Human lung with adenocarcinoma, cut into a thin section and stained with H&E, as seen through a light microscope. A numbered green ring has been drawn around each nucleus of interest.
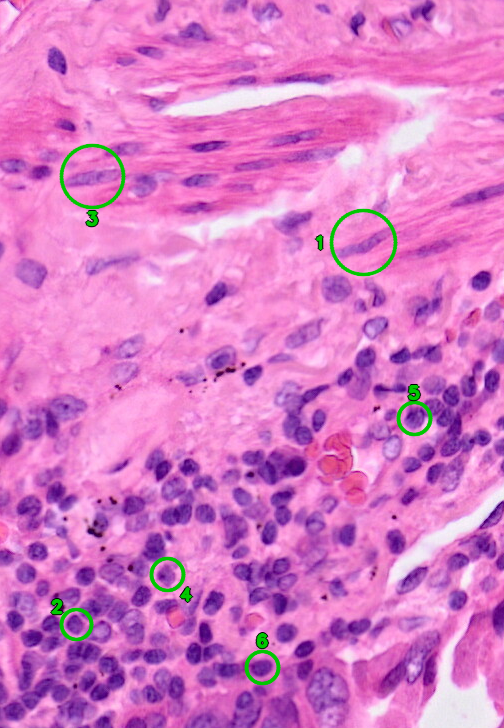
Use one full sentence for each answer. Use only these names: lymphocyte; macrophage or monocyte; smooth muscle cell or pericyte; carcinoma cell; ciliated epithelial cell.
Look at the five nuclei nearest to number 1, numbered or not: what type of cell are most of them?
The majority of the five nuclei closest to number 1 belong to macrophages or monocytes.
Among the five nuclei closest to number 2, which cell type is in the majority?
Around number 2, most of the five nearest nuclei are those of lymphocytes.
